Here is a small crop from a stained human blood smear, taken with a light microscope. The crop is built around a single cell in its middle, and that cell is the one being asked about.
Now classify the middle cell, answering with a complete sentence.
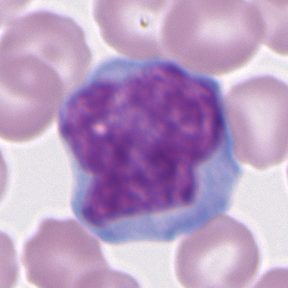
The cell at the heart of this crop is a monocyte.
